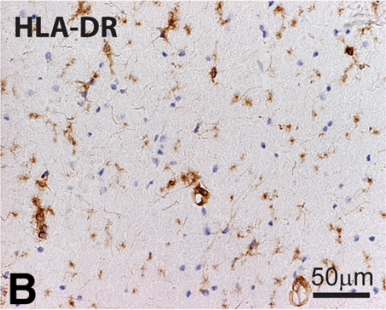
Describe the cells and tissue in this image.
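In pale white matter with many small round and oval blue nuclei, brown-stained cells with small bodies and thin, branching processes are scattered throughout the field. A few stained cells are denser and larger, some lying beside small vessel lumens, where brown staining outlines the vessel wall. Most stained cells, however, lie in the tissue between vessels, with delicate processes extending outward. The unstained background is fibrous and evenly pale. These ramified, scattered cells are microglia, with some stained cells near vessels.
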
